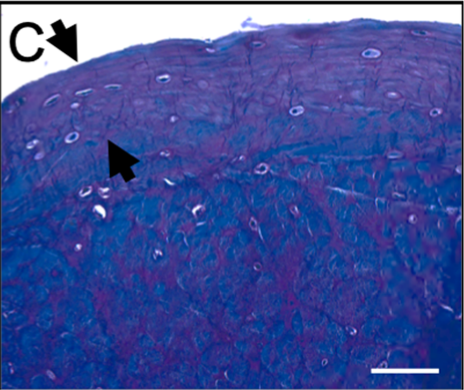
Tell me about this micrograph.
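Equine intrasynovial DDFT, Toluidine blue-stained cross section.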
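This is a section of dorsal fibrocartilage of a tendon, with scattered chondrocyte-like cells embedded in a dense matrix. The cells are widely spaced and single, each sitting in a small rounded clear space, much like the lacunae of cartilage. They are more easily made out near the smooth upper surface, while deeper down the matrix looks more fibrous and streaked. There are no rows of flattened, elongated cells such as ordinary tendon would show.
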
